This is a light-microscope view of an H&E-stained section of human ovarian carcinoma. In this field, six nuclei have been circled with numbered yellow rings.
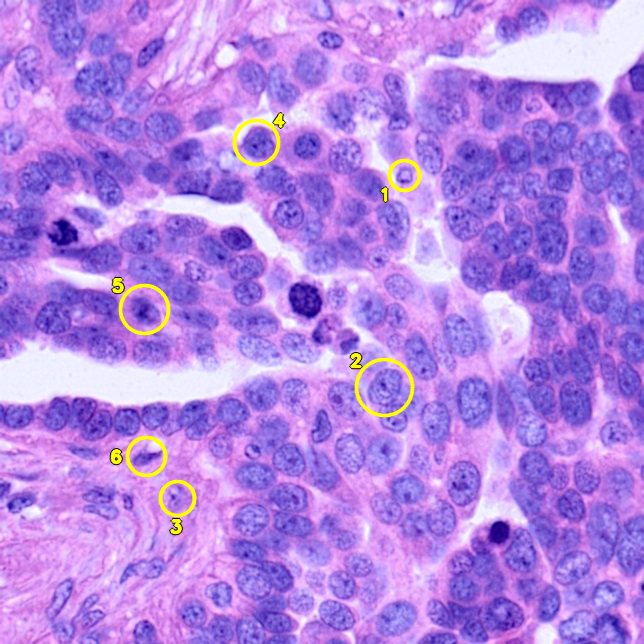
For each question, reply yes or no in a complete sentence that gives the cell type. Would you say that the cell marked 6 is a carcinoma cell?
No, cell 6 is not a carcinoma cell; a fibroblast is the correct identification.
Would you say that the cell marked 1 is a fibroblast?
No, cell 1 should be read as a macrophage or monocyte instead of a fibroblast.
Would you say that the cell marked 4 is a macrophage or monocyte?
No, number 4 belongs to a carcinoma cell, not to a macrophage or monocyte.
